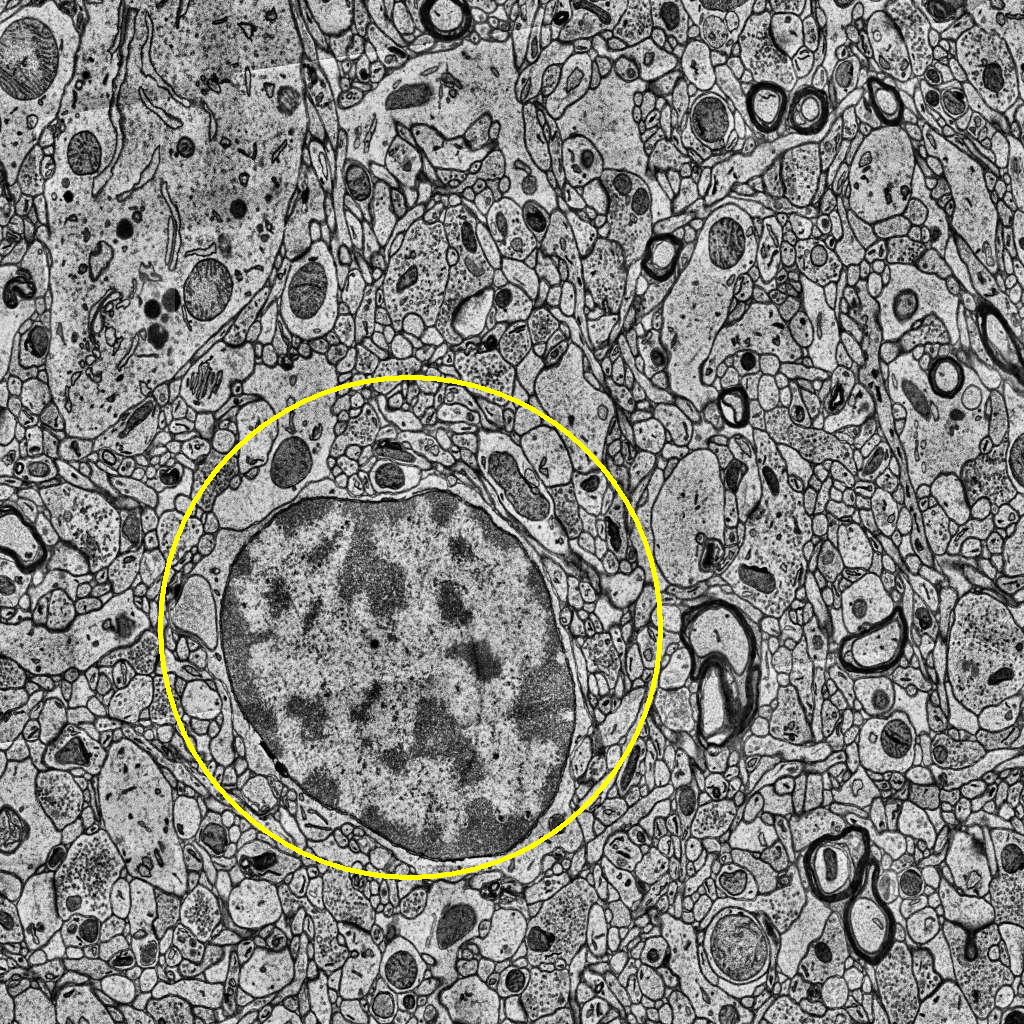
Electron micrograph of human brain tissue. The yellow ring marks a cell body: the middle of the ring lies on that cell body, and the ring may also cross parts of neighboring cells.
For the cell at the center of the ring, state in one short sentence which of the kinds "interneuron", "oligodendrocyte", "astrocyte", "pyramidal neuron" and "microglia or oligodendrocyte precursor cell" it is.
This ring's center lies on a microglial cell or oligodendrocyte precursor cell.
